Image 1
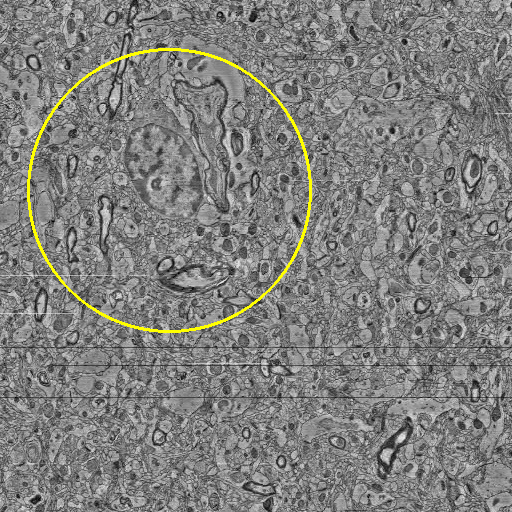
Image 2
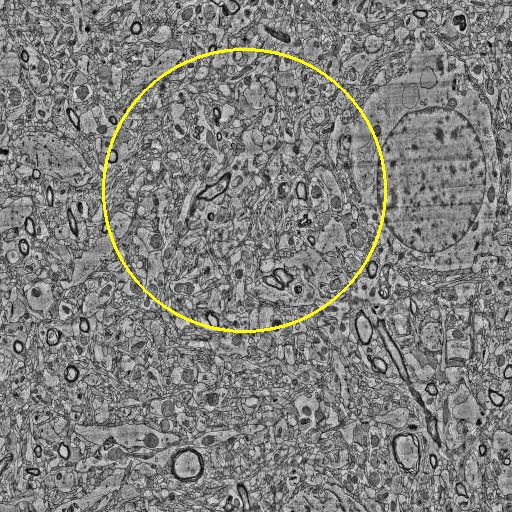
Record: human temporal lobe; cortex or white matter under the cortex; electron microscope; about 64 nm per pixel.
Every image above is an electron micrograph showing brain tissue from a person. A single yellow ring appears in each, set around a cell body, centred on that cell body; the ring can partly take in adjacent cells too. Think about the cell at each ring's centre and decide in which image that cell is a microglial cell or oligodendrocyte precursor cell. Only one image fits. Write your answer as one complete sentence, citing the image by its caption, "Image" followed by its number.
Image 2 is the one whose ringed central cell fits the description.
